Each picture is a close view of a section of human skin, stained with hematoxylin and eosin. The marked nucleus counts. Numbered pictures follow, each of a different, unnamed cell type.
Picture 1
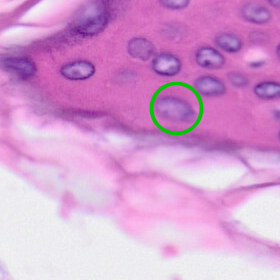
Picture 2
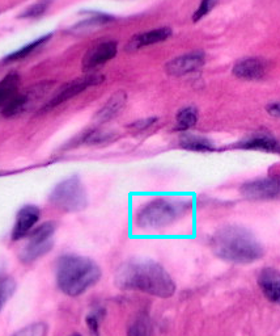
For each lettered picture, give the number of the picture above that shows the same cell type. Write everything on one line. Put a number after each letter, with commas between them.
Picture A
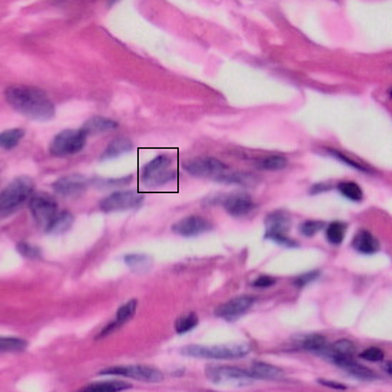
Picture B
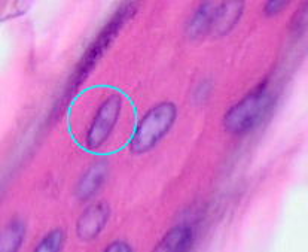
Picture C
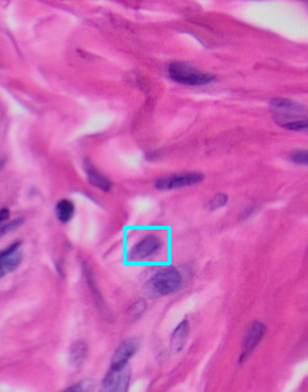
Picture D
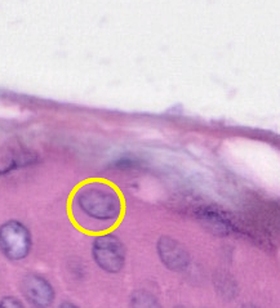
A 2, B 1, C 2, D 1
